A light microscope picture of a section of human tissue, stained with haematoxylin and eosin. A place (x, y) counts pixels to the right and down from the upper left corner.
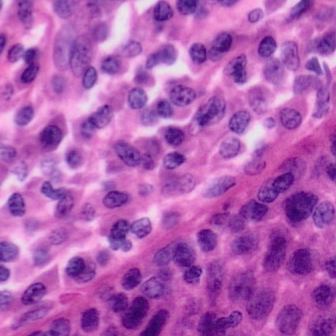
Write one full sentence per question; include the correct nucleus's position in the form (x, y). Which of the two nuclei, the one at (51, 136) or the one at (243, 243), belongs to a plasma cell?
Identified as belonging to a plasma cell is the nucleus at (51, 136).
